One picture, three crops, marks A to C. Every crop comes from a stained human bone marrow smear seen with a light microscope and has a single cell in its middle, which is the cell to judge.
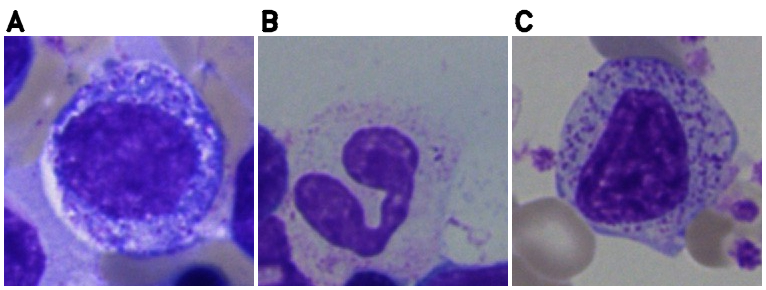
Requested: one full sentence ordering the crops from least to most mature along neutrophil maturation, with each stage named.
Ordering these by maturity, least mature first, yields crop A (a promyelocyte), crop C (a myelocyte) and crop B (a segmented neutrophil).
